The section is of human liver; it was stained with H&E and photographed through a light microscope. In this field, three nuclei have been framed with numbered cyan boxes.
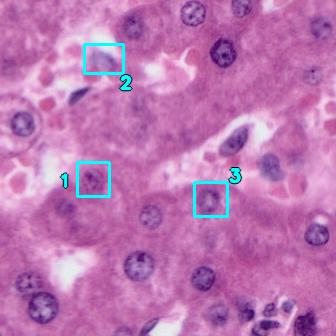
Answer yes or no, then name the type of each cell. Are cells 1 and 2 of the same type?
No, cell 1 is a hepatocyte and cell 2 is a Kupffer cell.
